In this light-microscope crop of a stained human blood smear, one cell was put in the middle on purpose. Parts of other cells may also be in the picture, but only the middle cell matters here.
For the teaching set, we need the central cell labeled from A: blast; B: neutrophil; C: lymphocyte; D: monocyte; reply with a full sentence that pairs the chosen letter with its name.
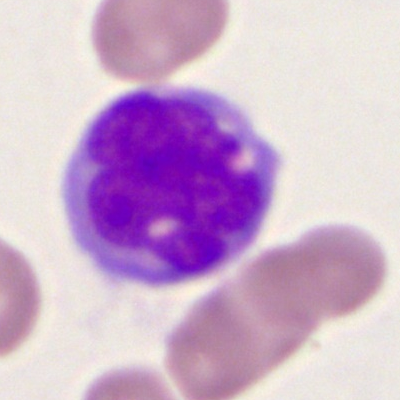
That middle cell is a monocyte, and option D is therefore correct.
